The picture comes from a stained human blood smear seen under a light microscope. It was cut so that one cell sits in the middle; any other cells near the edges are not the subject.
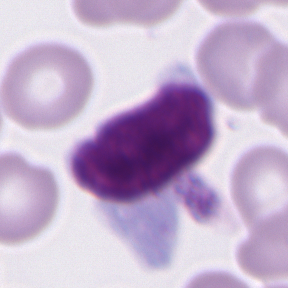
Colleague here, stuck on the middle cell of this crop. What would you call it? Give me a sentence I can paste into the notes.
In the middle of this smear crop, the cell is a typical lymphocyte.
